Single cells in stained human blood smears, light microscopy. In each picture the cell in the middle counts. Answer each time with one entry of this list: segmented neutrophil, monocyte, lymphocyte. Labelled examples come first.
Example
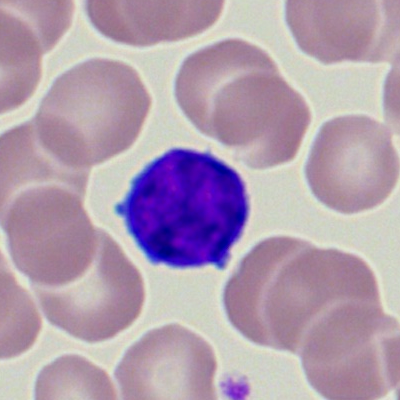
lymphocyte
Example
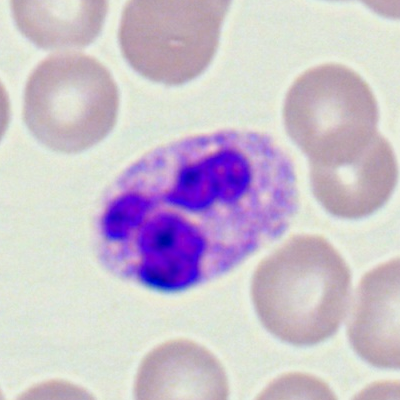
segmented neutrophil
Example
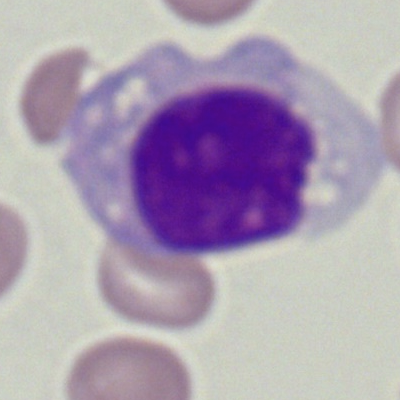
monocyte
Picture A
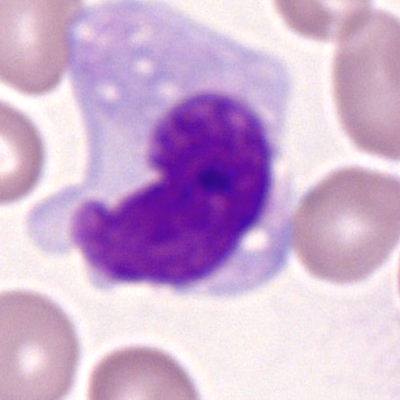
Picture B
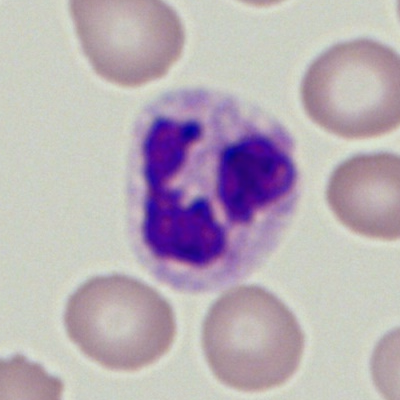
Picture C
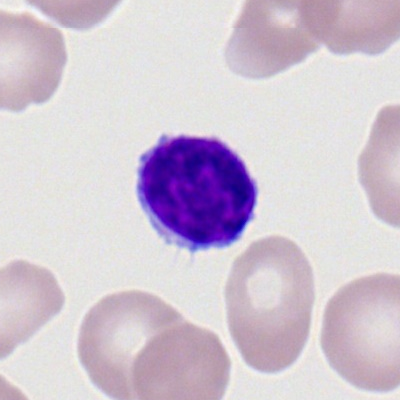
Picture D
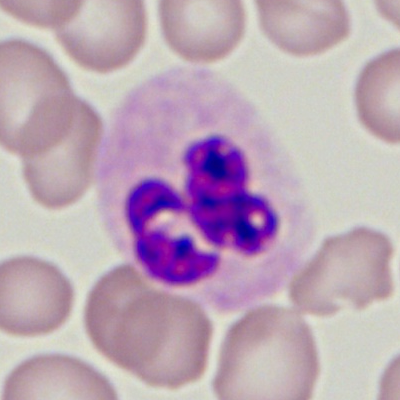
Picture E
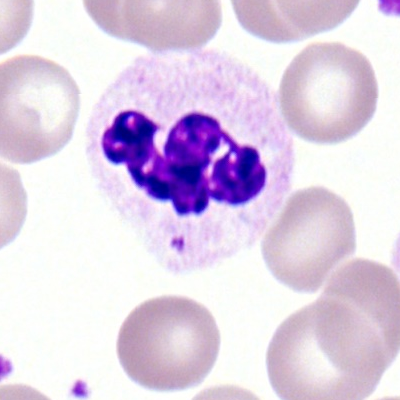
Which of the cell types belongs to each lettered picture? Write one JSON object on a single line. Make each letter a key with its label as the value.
{"A": "monocyte", "B": "segmented neutrophil", "C": "lymphocyte", "D": "segmented neutrophil", "E": "segmented neutrophil"}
